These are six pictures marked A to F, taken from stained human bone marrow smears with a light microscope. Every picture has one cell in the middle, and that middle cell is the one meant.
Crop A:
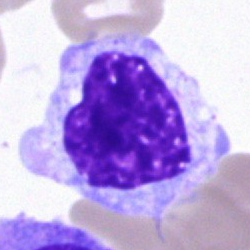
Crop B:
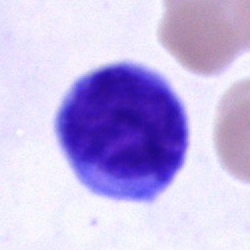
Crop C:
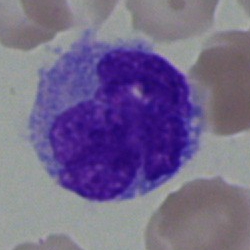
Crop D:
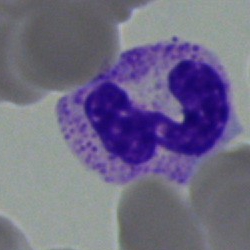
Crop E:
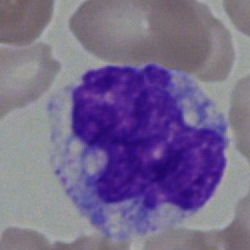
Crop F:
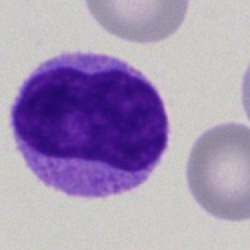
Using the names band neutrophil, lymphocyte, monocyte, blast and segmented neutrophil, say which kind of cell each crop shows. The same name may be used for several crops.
A: monocyte
B: blast
C: monocyte
D: band neutrophil
E: monocyte
F: monocyte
